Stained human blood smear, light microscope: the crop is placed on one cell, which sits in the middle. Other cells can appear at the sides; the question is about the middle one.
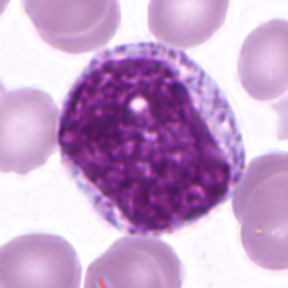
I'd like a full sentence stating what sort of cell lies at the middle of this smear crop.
The cell at the heart of this crop is a myelocyte.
